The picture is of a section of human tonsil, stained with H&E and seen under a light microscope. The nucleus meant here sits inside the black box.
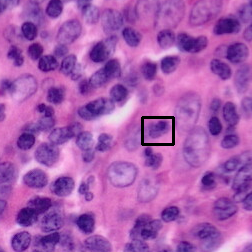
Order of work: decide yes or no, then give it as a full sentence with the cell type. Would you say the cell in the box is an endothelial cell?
Yes, by cell type, the cell in the box is an endothelial cell.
